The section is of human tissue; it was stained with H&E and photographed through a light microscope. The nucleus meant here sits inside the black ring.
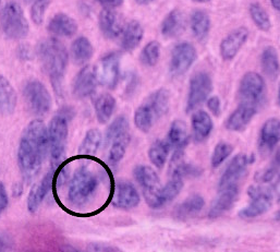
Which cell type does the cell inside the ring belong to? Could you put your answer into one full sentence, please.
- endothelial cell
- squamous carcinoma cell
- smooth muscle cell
Cell type answer for this item: the cell inside the ring is a squamous carcinoma cell.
